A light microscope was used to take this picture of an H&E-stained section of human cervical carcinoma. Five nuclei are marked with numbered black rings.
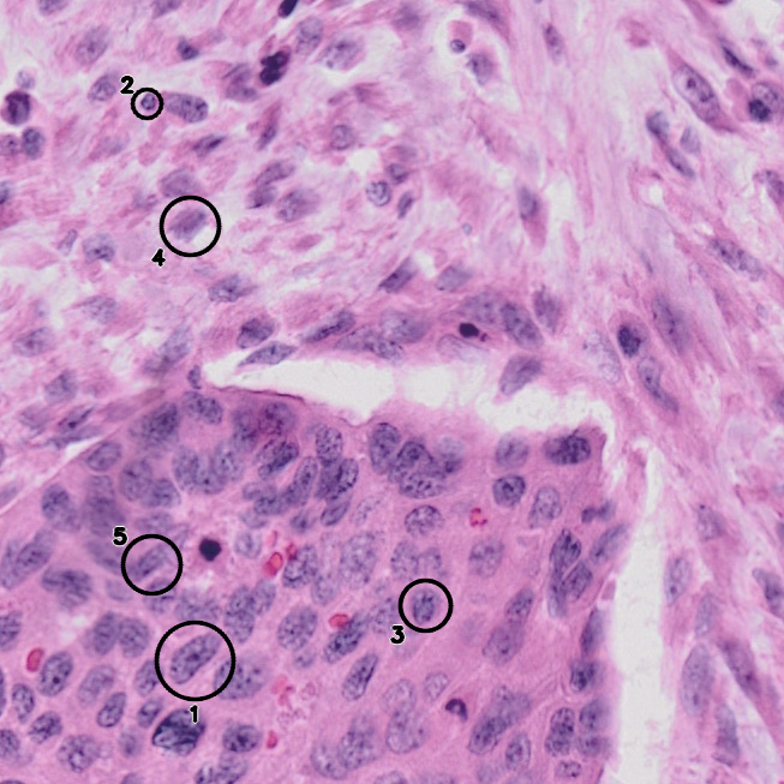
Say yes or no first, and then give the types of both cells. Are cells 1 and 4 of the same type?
No, cell 1 is a squamous carcinoma cell, and as for cell 4, it is a fibroblast.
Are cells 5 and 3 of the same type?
Yes, both cell 5 and cell 3 count among the squamous carcinoma cells.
